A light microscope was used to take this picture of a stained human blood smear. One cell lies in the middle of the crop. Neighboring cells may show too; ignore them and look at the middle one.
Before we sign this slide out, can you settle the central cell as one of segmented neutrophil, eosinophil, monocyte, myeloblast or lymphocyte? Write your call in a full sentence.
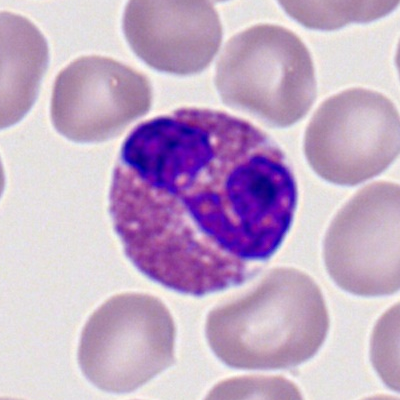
The cell featured at the centre of this crop is an eosinophil.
